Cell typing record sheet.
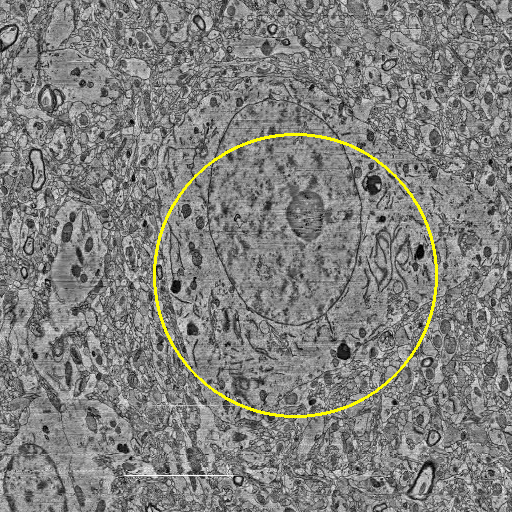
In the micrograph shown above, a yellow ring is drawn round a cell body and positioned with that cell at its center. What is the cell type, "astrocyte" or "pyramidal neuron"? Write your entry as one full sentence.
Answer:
The cell body at the center of the ring belongs to a pyramidal neuron.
